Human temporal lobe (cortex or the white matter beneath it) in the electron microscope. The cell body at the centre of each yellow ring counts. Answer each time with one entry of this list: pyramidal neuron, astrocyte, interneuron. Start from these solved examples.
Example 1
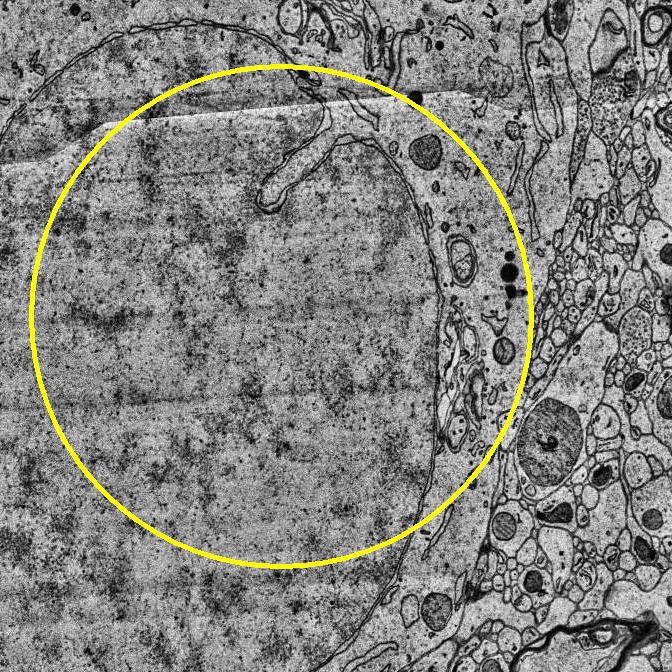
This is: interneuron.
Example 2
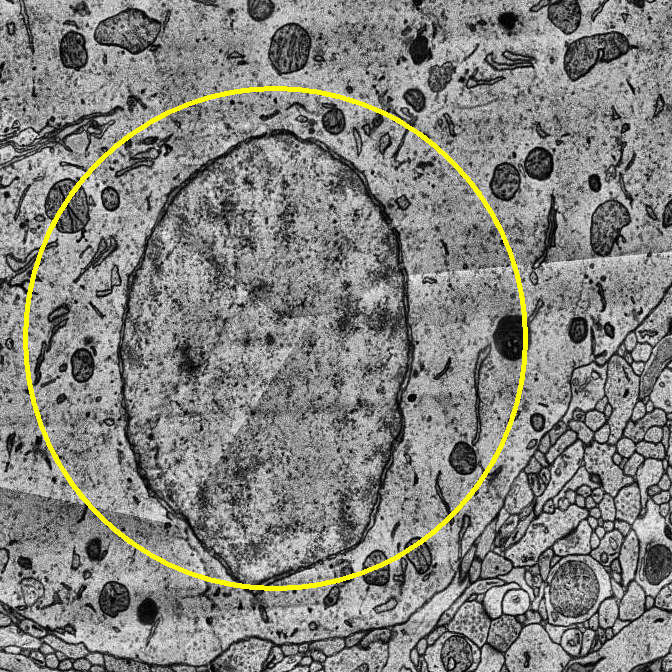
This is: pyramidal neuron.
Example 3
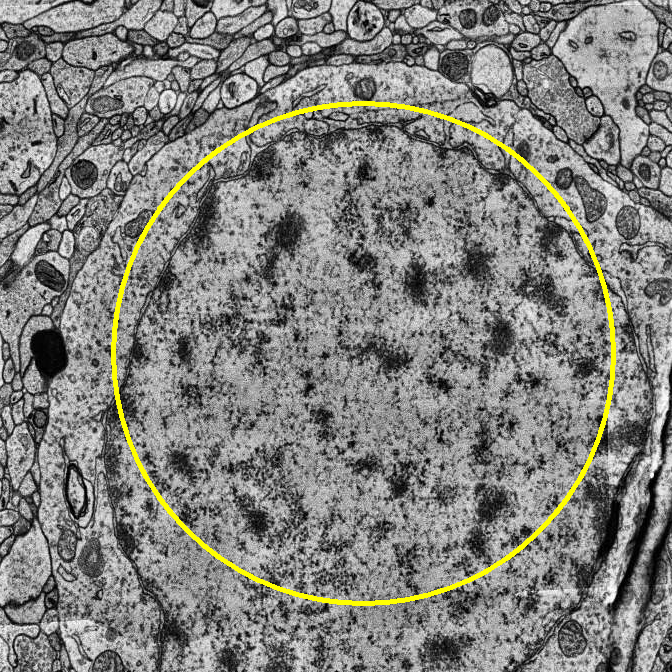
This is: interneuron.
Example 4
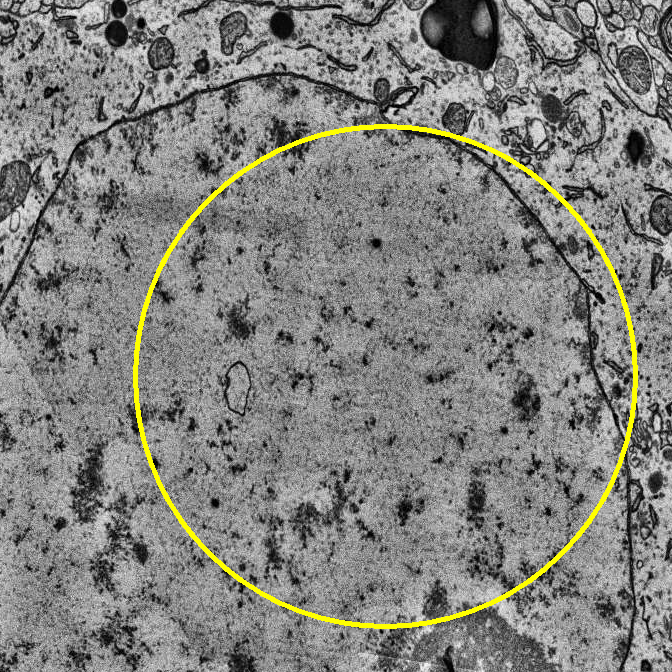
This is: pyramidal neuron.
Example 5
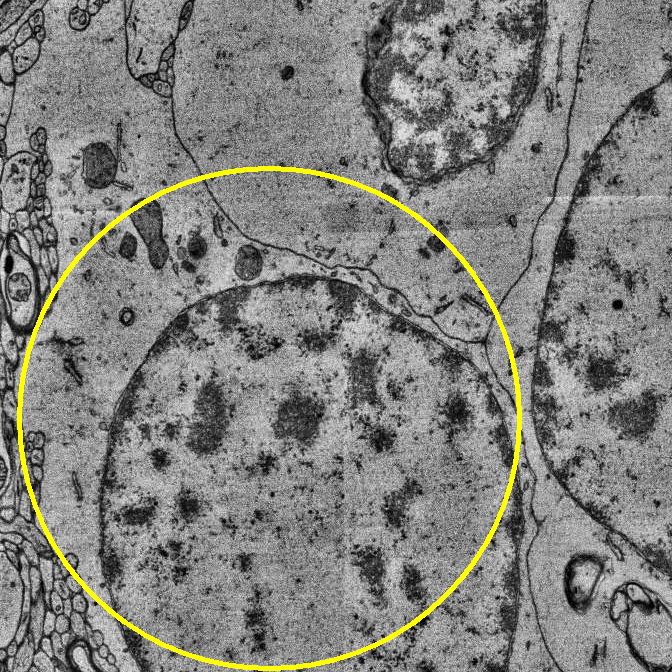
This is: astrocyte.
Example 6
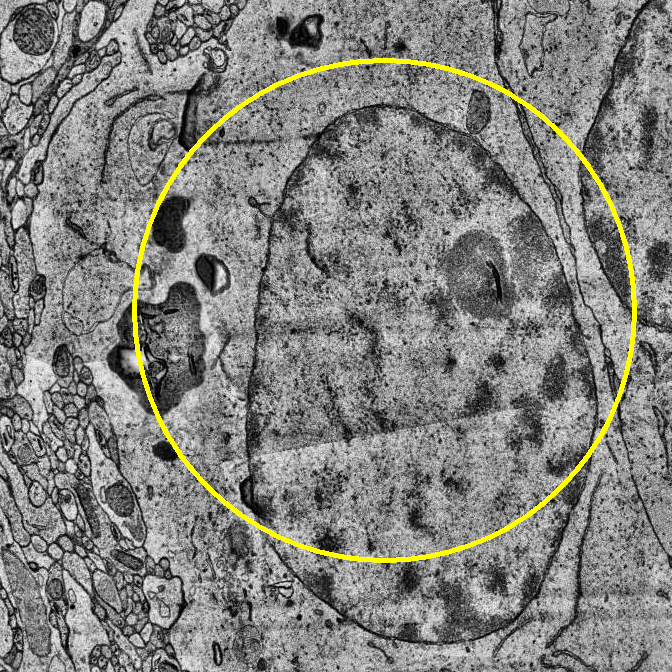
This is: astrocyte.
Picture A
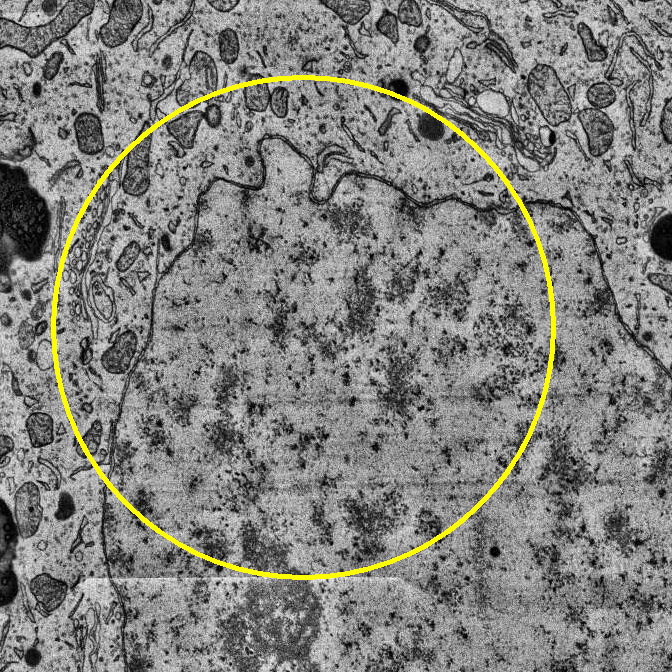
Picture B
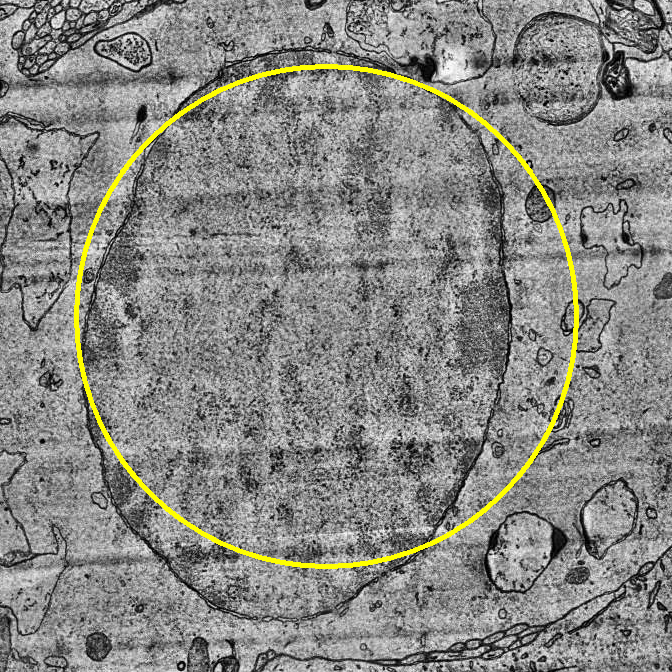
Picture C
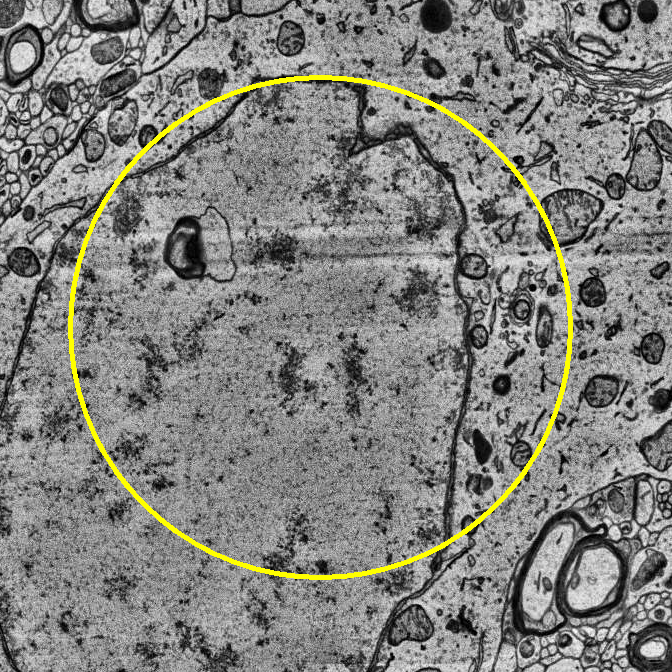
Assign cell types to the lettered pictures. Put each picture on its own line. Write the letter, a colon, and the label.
A: interneuron.
B: astrocyte.
C: pyramidal neuron.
